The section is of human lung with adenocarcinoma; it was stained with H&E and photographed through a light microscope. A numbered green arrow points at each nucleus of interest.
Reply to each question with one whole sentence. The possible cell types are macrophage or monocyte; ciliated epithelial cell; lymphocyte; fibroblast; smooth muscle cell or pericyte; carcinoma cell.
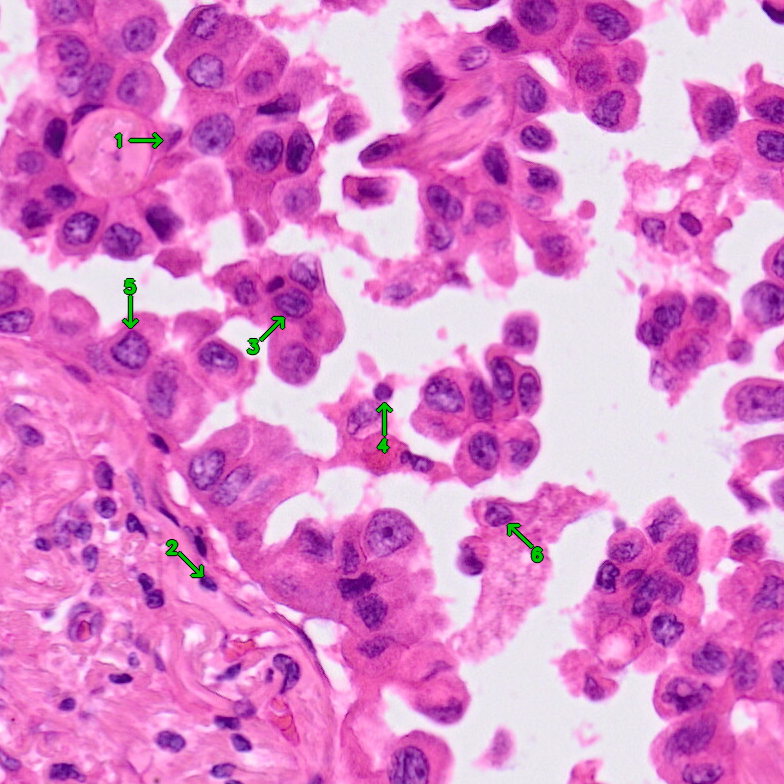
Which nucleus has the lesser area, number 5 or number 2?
Nucleus 2 is the smaller one; nucleus 5 covers about 4 times its area.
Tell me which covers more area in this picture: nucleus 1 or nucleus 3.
Nucleus 3 covers more area, about 2 times as much as nucleus 1.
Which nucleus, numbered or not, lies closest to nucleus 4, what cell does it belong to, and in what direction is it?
The nearest one is a macrophage or monocyte, found below and to the left of nucleus 4.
